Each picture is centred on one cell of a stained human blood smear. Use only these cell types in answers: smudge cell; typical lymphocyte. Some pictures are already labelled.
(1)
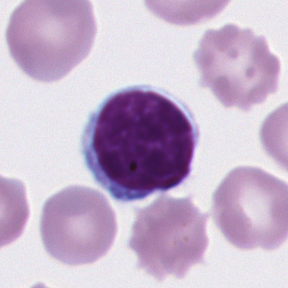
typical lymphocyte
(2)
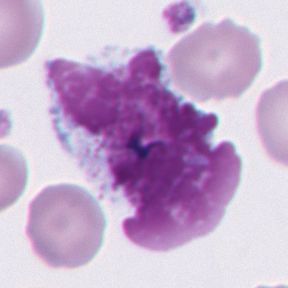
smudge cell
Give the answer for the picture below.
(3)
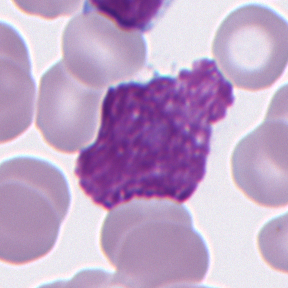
smudge cell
